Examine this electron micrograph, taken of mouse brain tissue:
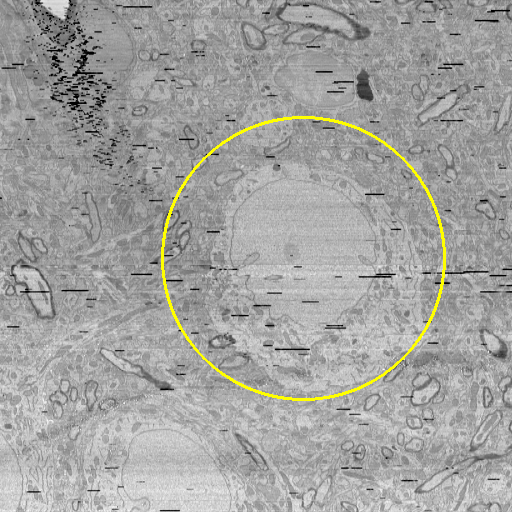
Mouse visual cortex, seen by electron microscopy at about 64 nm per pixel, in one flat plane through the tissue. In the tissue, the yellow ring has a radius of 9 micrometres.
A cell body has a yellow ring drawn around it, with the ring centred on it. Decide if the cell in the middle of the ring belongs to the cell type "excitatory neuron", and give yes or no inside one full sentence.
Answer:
Yes, the cell at the centre of the yellow ring in this picture is of that type.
